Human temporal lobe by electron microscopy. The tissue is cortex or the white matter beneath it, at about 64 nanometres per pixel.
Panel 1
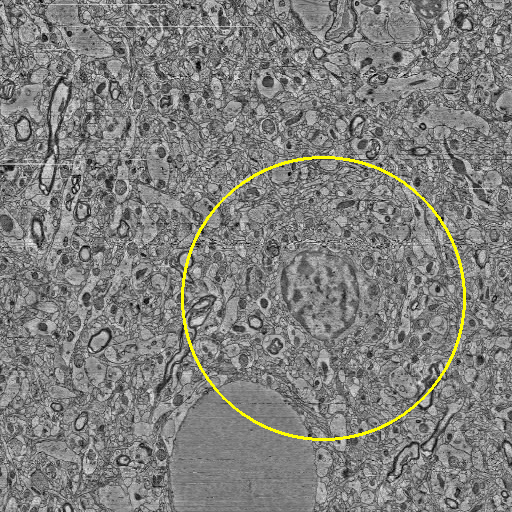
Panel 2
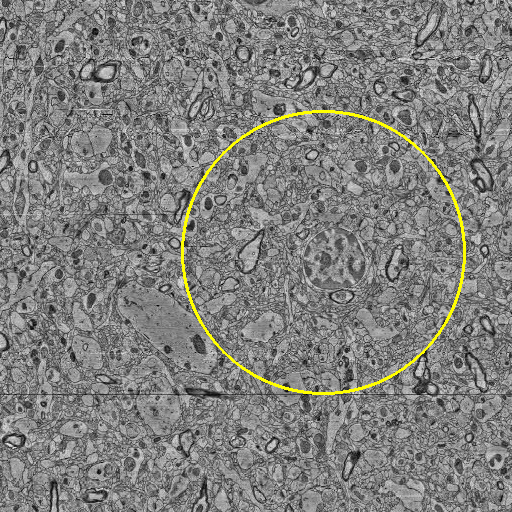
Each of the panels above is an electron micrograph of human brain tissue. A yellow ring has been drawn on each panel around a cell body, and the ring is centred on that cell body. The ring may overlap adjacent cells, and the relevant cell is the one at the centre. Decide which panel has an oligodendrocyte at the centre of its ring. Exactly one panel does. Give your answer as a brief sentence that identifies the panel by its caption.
Panel 1 is the one with it at the centre of the ring.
